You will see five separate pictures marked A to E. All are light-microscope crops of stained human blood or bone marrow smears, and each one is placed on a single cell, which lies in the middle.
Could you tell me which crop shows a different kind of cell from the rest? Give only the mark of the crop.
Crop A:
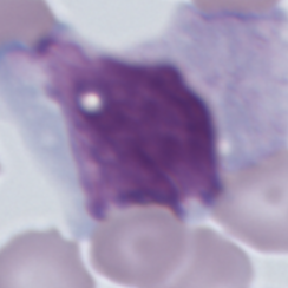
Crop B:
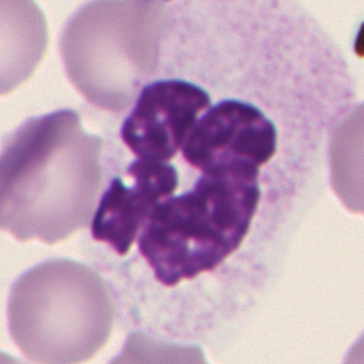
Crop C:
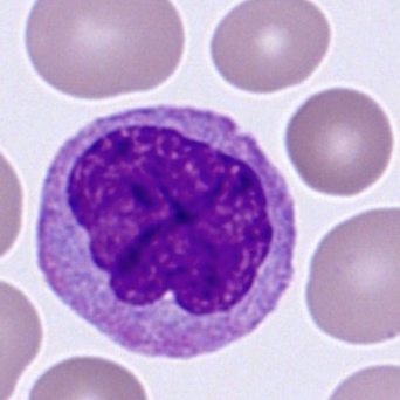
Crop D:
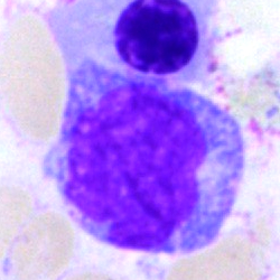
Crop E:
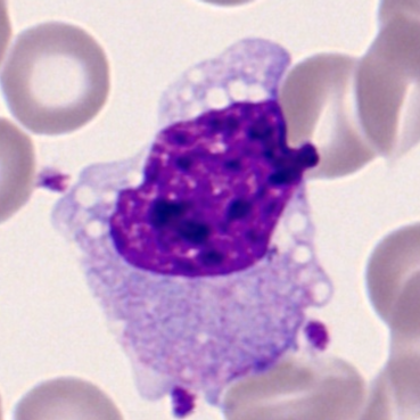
B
